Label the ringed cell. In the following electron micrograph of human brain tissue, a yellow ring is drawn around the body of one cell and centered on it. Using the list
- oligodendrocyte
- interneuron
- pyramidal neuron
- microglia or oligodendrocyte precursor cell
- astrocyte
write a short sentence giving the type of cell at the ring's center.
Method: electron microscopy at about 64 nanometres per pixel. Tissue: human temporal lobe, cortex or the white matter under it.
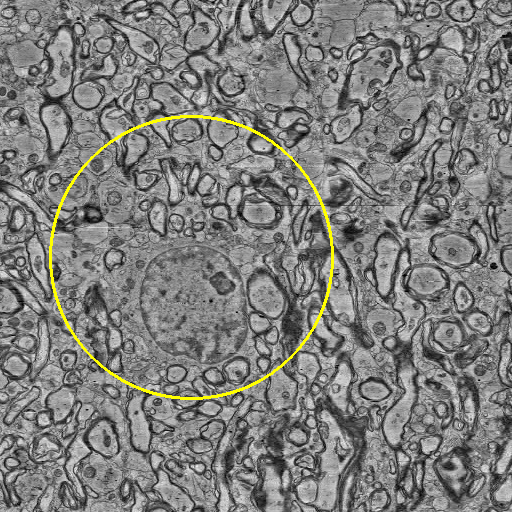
The cell body at the ring's center is that of an oligodendrocyte.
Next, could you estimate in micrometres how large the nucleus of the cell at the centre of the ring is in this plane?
Roughly 8 micrometres by 7 micrometres, in this plane.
